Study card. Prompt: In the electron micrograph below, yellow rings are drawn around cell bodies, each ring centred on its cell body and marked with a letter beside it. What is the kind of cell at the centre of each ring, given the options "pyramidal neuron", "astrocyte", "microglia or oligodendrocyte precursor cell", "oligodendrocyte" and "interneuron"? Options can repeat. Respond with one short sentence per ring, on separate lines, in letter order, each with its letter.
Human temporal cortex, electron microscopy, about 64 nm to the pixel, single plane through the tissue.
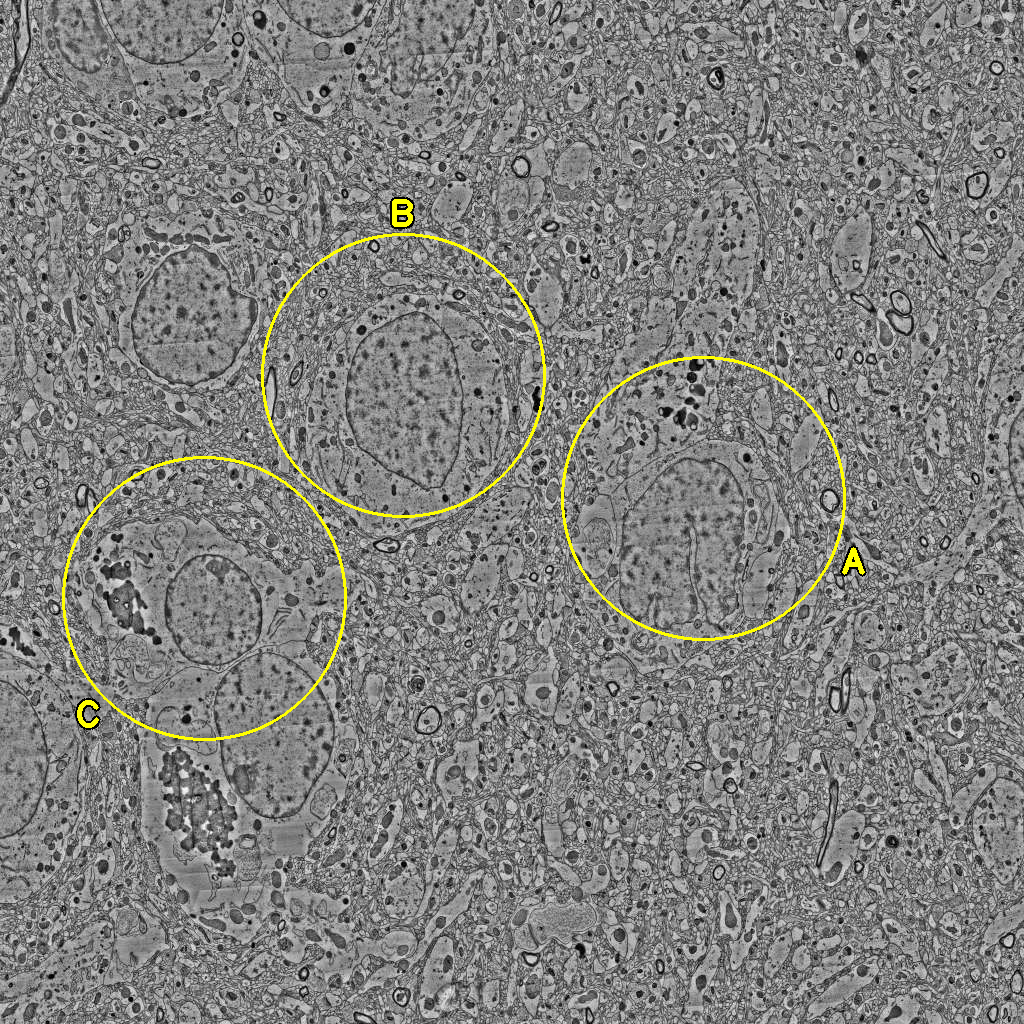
Ring A outlines an interneuron.
Ring B outlines a pyramidal neuron.
Ring C outlines an astrocyte.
